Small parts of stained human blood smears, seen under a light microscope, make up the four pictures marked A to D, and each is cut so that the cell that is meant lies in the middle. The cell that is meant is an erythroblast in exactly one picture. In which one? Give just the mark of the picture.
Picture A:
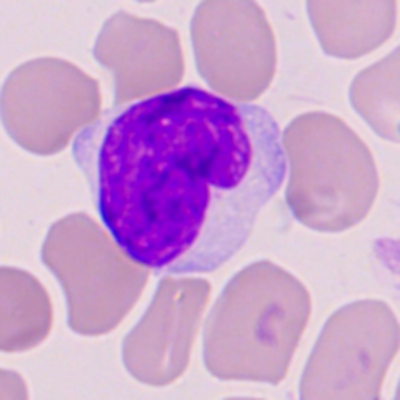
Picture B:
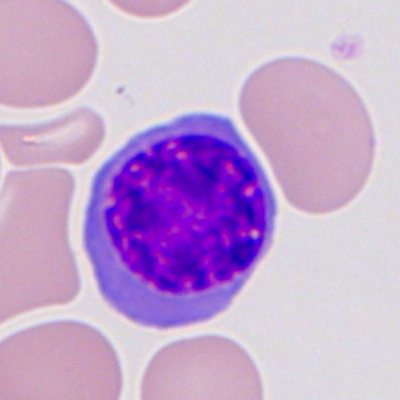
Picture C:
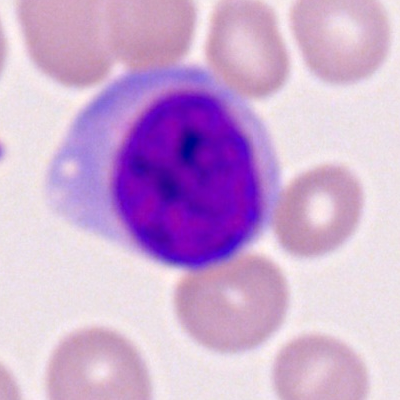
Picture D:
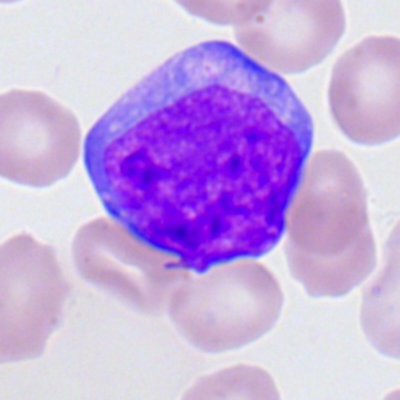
B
